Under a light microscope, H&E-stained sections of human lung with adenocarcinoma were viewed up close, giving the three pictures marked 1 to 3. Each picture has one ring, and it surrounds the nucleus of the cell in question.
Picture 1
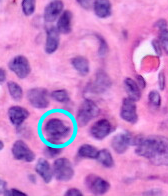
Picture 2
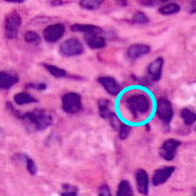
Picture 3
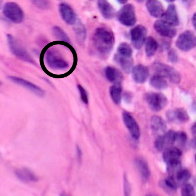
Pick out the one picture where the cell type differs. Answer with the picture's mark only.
1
